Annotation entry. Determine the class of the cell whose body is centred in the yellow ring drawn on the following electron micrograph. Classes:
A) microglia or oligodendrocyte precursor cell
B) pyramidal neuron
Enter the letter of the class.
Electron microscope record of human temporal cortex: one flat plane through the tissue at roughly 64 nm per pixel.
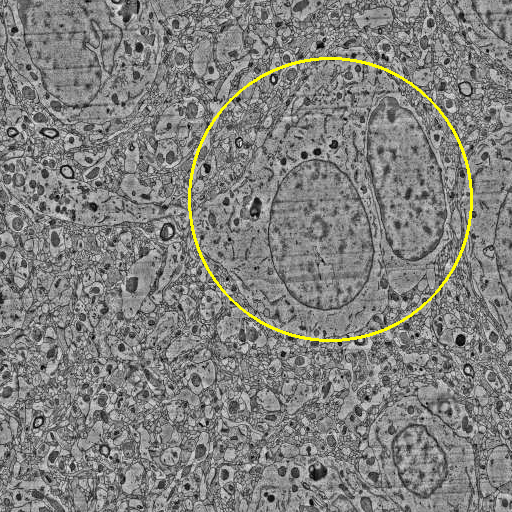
B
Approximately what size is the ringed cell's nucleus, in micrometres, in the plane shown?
About 10 by 7 micrometres; in this plane the nucleus is clearly longer than it is wide.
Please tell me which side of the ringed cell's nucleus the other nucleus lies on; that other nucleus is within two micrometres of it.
The other nucleus lies to the right of it.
